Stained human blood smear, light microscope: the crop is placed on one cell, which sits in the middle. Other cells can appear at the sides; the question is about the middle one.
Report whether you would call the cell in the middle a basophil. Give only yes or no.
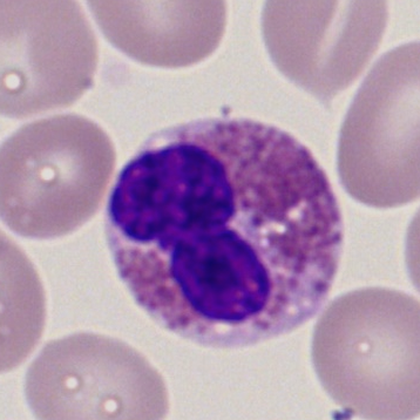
no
